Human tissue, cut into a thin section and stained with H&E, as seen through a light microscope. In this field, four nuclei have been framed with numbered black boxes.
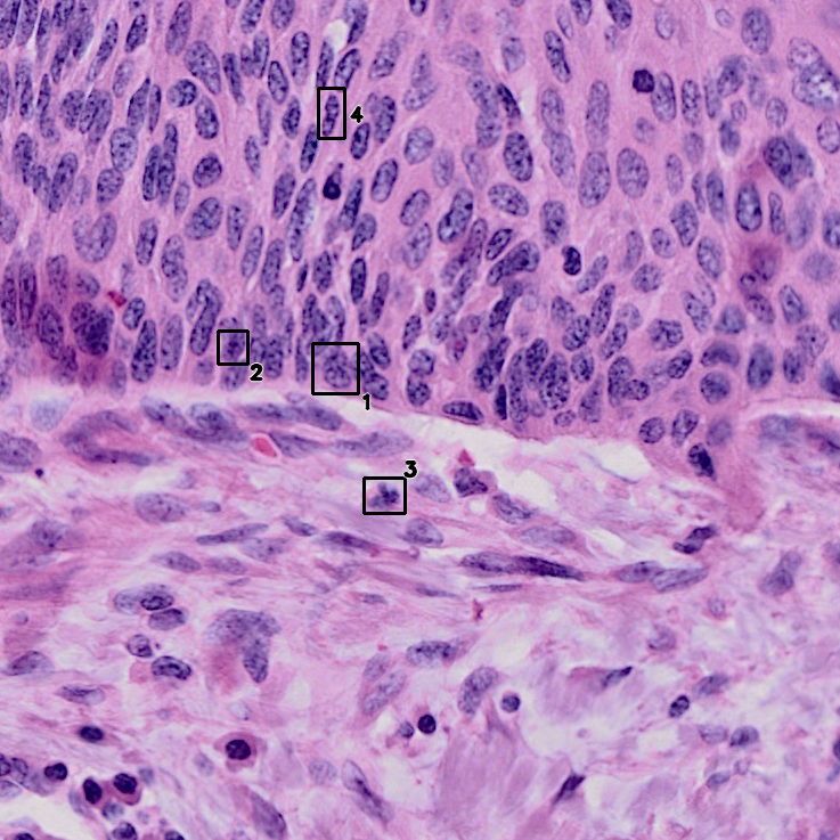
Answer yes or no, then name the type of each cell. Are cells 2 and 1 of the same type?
Yes, both are squamous carcinoma cells.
